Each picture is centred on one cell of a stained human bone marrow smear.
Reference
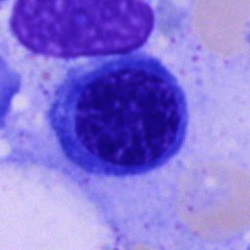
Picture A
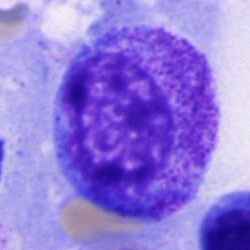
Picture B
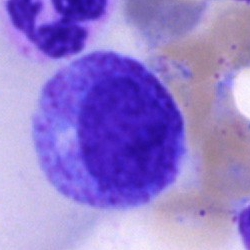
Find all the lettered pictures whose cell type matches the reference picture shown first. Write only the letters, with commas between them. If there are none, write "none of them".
none of them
